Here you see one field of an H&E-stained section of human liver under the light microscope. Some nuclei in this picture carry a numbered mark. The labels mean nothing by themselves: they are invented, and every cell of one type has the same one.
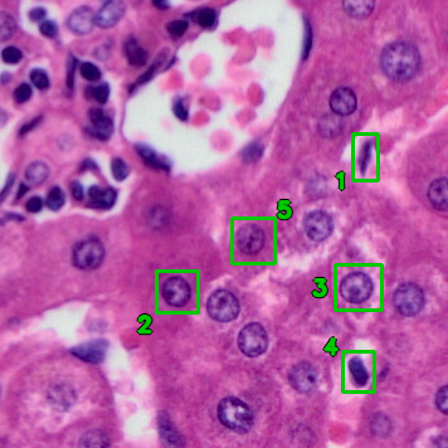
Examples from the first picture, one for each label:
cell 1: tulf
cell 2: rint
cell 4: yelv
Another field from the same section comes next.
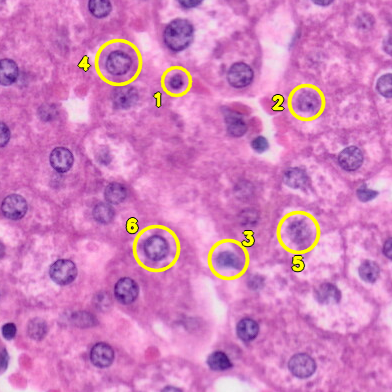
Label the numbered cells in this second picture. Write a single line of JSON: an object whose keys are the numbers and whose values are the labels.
{"1": "yelv", "2": "rint", "3": "tulf", "4": "rint", "5": "rint", "6": "rint"}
